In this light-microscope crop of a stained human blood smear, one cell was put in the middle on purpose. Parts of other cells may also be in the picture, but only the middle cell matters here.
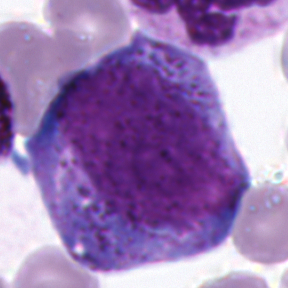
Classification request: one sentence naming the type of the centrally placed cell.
The central cell in this smear crop is a promyelocyte.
